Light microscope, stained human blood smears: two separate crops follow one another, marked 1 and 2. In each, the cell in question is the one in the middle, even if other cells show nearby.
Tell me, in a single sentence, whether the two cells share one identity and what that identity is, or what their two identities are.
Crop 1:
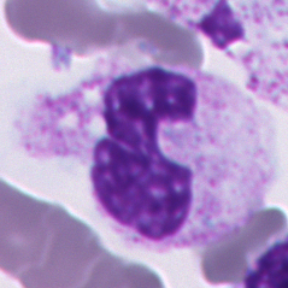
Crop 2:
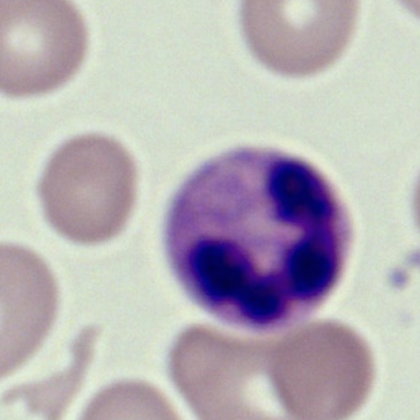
Yes, both of the crops in this pair show segmented neutrophils, one cell in each crop.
